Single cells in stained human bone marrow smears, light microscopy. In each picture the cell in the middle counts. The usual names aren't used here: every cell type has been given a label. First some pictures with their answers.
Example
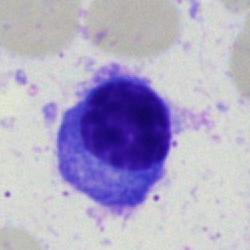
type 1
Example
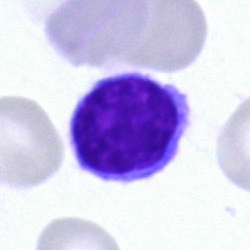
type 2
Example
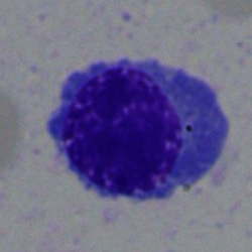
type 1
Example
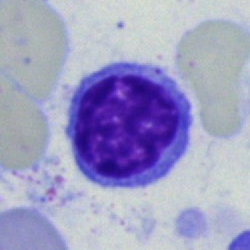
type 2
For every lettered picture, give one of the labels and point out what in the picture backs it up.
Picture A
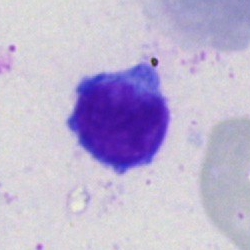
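type 2: The nucleus fills most of the cell.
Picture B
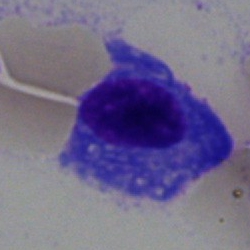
type 1: The cytoplasm is abundant and stains deep blue.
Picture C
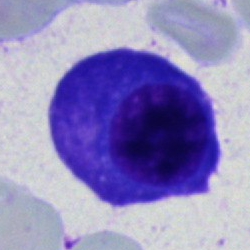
type 1: The cytoplasm is abundant and stains deep blue.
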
